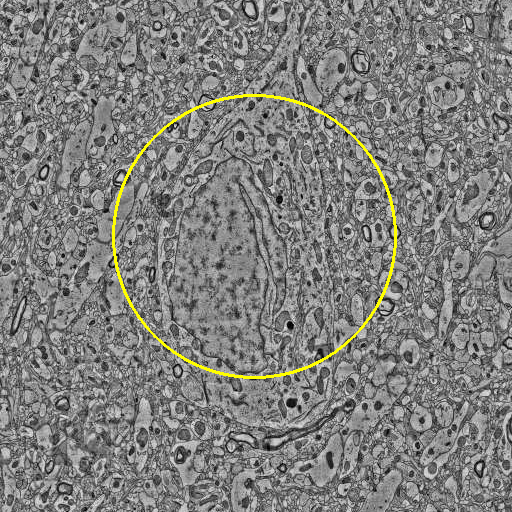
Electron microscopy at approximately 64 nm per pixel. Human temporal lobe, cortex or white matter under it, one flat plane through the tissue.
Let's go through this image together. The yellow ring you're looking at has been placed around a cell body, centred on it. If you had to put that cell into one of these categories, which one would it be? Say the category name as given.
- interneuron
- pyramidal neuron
interneuron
